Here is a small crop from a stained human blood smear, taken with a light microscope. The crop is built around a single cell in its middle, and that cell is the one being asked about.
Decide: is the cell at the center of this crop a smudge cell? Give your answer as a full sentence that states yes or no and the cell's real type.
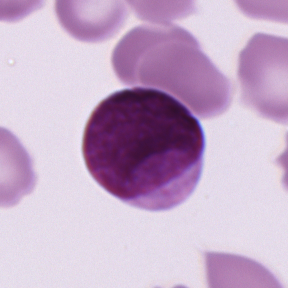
No, the centre of the crop contains a myeloblast rather than a smudge cell.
